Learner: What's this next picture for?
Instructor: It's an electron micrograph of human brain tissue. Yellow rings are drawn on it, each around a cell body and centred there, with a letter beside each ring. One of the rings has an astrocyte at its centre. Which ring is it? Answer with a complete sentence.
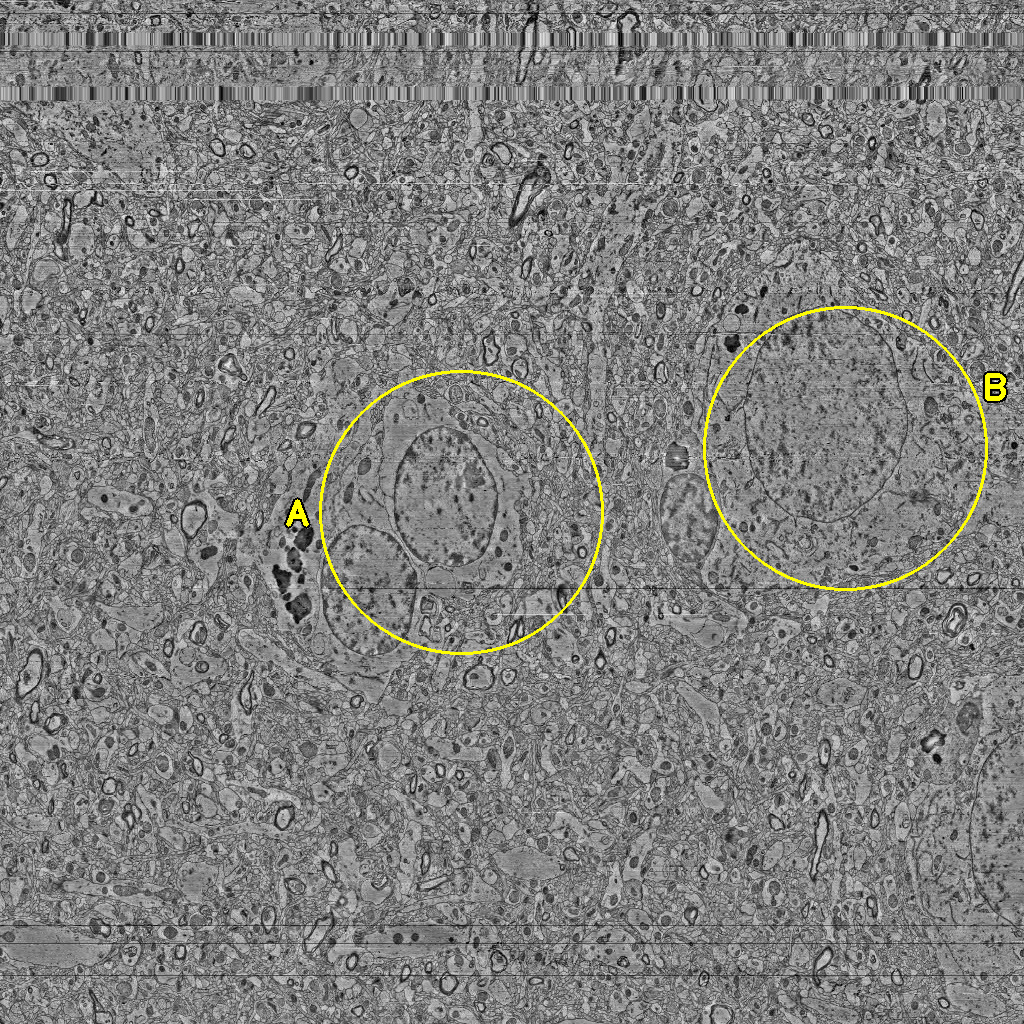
Ring A is centred on it.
